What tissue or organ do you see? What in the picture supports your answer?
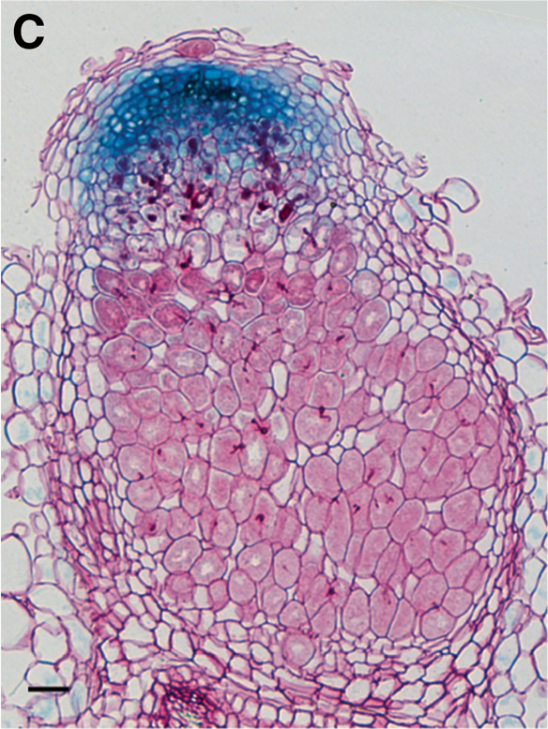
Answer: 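An oval organ bulges from the root with a vascular strand at its base. Its centre is filled with large, densely pink-stained cells. Small cells cap the apex, enclosed by layers of flattened peripheral cells. That points to this answer: mature nodule.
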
